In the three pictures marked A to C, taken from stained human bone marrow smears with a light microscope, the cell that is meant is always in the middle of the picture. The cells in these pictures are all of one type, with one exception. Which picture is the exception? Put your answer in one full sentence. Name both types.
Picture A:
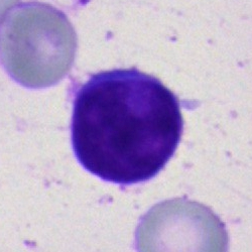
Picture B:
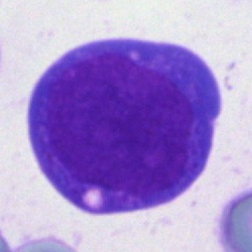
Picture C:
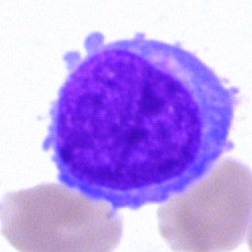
Picture A is the odd one out: it shows a lymphocyte, while the others show blasts.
